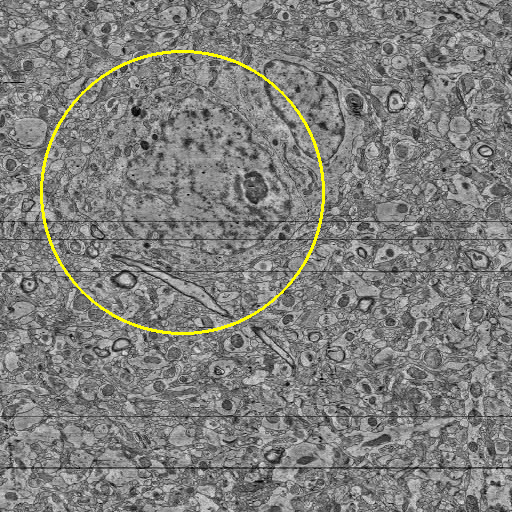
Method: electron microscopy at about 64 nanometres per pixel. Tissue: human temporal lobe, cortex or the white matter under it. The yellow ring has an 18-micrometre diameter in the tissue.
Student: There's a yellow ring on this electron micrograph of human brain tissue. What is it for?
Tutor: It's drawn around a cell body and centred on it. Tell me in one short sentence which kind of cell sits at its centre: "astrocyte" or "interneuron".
The cell at the centre of the ring is an interneuron.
